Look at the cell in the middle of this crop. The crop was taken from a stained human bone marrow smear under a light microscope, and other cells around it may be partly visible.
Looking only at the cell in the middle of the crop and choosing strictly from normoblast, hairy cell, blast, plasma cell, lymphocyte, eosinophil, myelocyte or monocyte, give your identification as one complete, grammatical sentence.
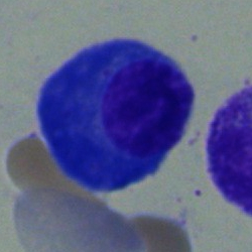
The target cell in the middle of the crop is a plasma cell.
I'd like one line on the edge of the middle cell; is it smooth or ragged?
There are no projections here; the outline is simply smooth.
